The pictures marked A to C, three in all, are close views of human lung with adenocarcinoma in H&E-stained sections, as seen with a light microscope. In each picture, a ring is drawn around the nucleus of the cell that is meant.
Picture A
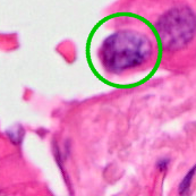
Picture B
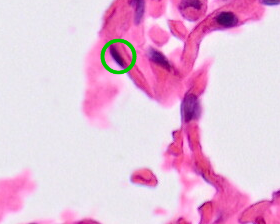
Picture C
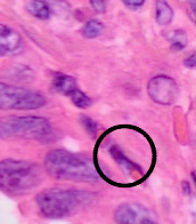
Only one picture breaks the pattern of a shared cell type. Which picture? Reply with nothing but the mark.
A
